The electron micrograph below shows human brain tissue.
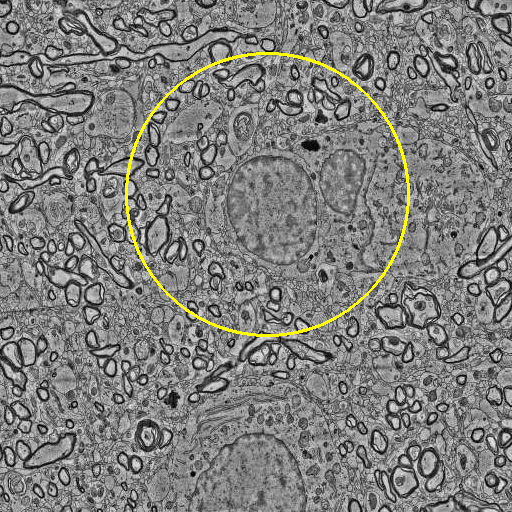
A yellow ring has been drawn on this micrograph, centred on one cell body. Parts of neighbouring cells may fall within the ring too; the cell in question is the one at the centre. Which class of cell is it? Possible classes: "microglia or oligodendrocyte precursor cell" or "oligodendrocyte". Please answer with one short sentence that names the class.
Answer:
In the centre of the ring sits an oligodendrocyte.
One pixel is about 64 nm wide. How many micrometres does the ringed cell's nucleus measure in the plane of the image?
About 7 by 6 micrometres in this plane.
